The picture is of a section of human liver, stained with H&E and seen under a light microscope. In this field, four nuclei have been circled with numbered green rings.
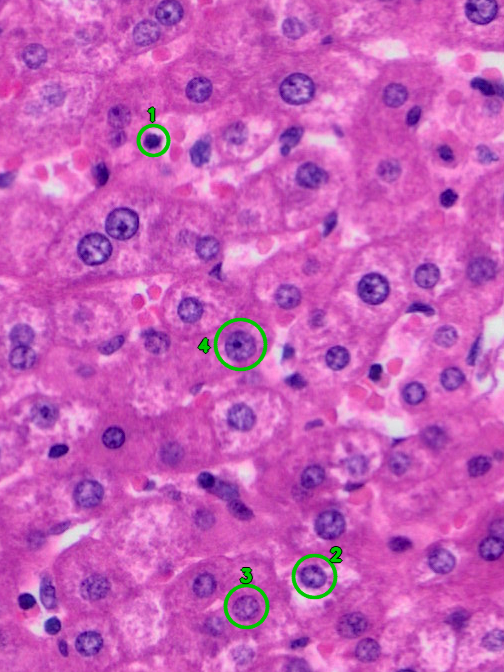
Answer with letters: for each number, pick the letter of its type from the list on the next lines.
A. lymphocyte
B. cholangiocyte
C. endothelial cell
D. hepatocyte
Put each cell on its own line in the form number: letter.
1: A
2: D
3: D
4: D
